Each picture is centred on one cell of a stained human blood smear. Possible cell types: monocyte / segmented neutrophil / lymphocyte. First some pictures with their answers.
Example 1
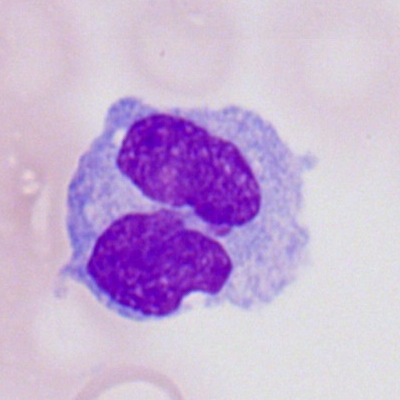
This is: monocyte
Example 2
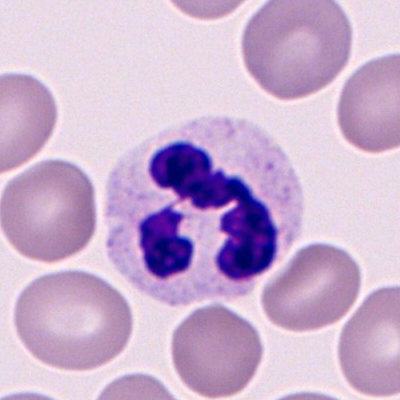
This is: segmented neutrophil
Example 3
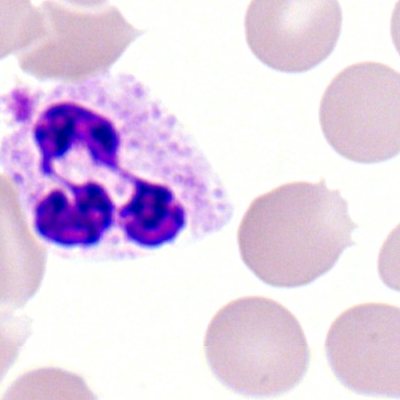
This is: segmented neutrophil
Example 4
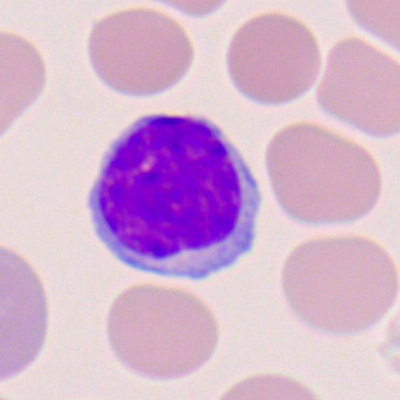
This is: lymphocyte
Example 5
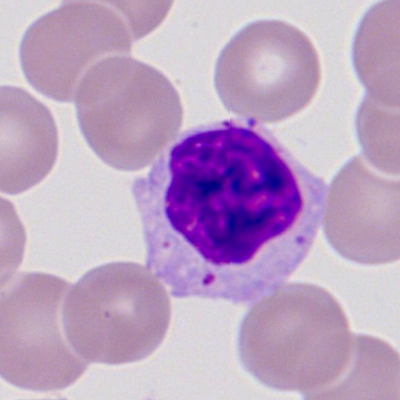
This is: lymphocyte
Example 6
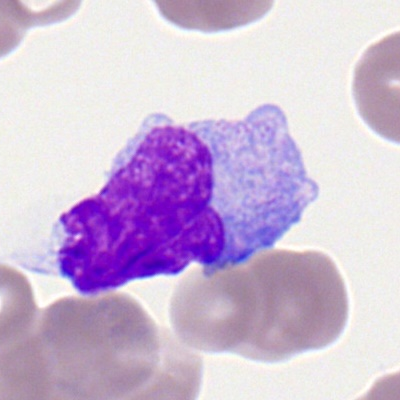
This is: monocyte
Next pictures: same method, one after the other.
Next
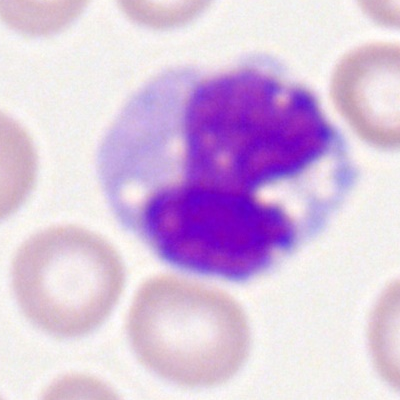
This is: monocyte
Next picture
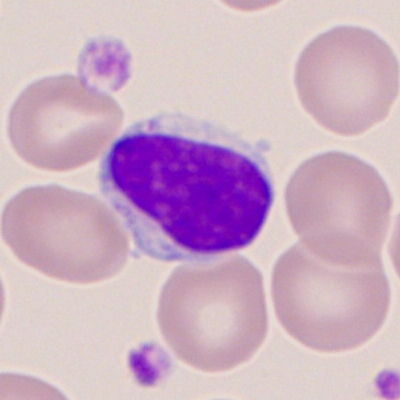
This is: lymphocyte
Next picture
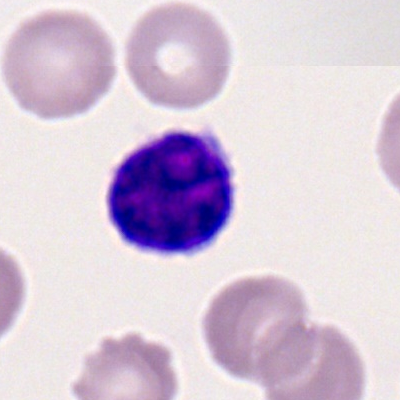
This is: lymphocyte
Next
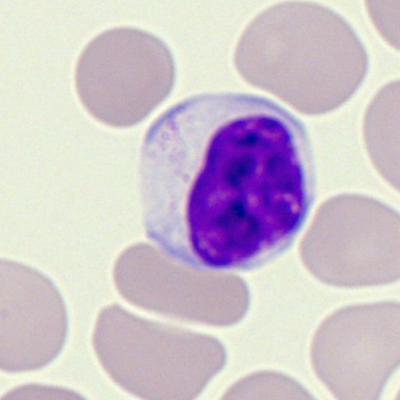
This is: lymphocyte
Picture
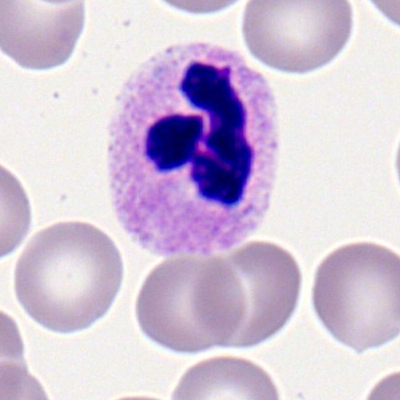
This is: segmented neutrophil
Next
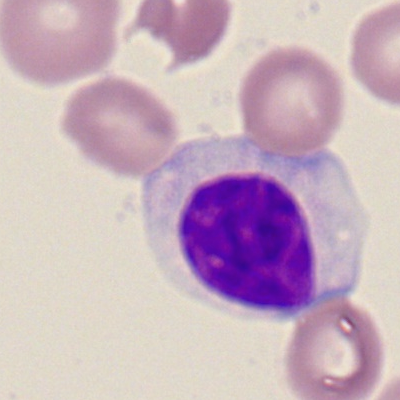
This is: lymphocyte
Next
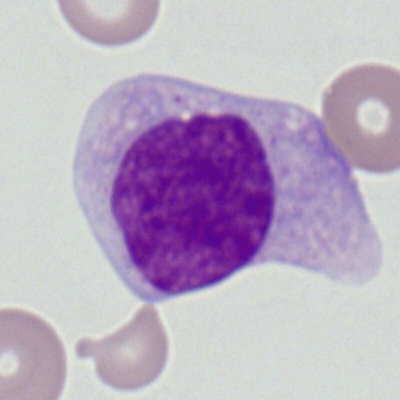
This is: monocyte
